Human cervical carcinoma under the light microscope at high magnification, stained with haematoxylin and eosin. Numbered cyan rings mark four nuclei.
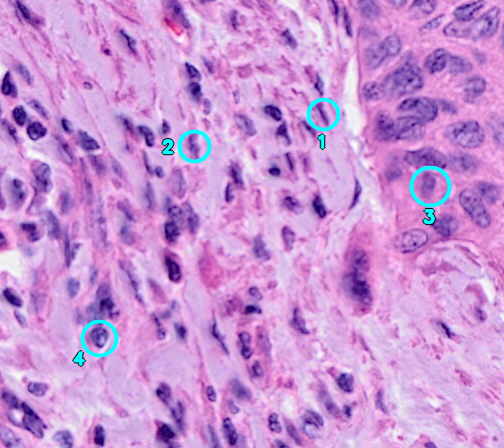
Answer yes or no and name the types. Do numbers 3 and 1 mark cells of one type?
No, cell 3 is a squamous carcinoma cell and cell 1 is a fibroblast.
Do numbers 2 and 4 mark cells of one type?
No, cell 2 is a fibroblast and cell 4 is a lymphocyte.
